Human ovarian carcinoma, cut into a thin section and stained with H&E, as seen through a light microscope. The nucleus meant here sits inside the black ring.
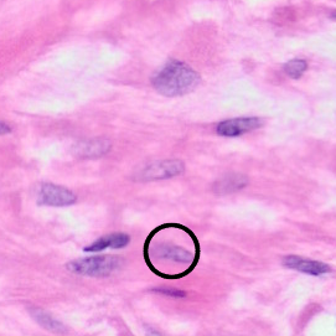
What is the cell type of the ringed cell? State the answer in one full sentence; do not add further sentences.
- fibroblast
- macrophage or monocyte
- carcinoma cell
The category to which the ringed cell belongs is that of a fibroblast.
